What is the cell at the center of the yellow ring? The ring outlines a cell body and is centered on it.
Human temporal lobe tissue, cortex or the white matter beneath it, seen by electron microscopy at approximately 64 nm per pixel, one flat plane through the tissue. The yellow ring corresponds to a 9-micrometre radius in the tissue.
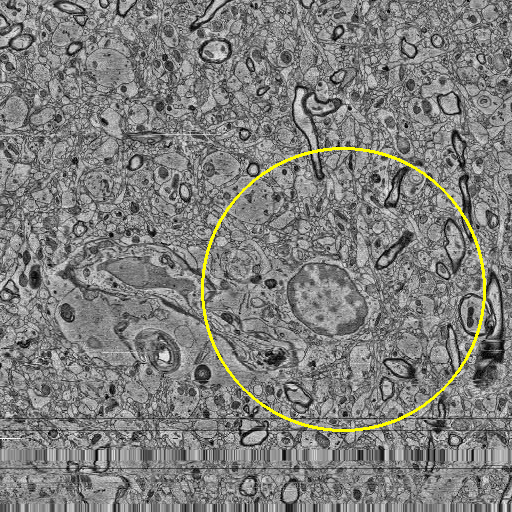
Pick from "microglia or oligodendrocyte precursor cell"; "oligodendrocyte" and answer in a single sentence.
The yellow ring is centered on a microglial cell or oligodendrocyte precursor cell.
